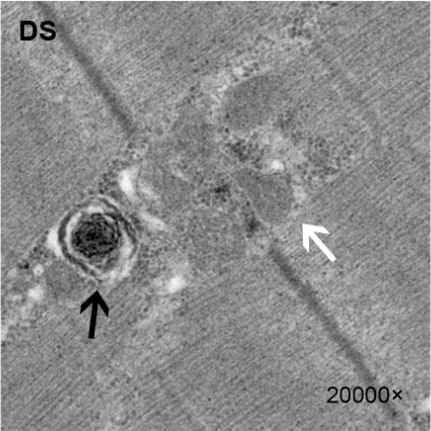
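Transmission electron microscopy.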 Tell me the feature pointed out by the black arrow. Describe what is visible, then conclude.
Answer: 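A round body with concentric membrane layers surrounding an electron-dense core. It lies among organelles at the edge of the myofibrils. The answer: autophagosomes.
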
